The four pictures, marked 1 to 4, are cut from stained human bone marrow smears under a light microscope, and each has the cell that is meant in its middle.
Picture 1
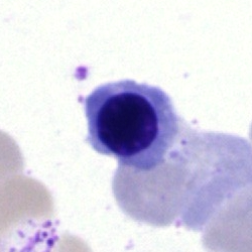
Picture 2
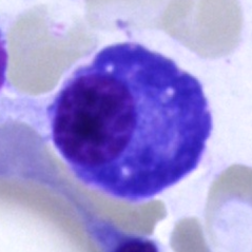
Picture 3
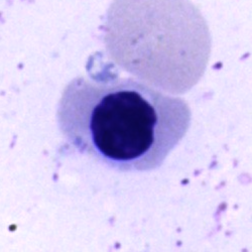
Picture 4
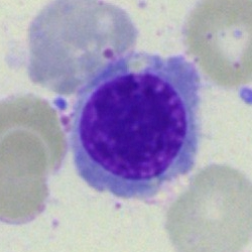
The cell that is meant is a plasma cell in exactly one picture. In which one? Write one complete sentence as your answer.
Picture 2 is the one that shows the plasma cell.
